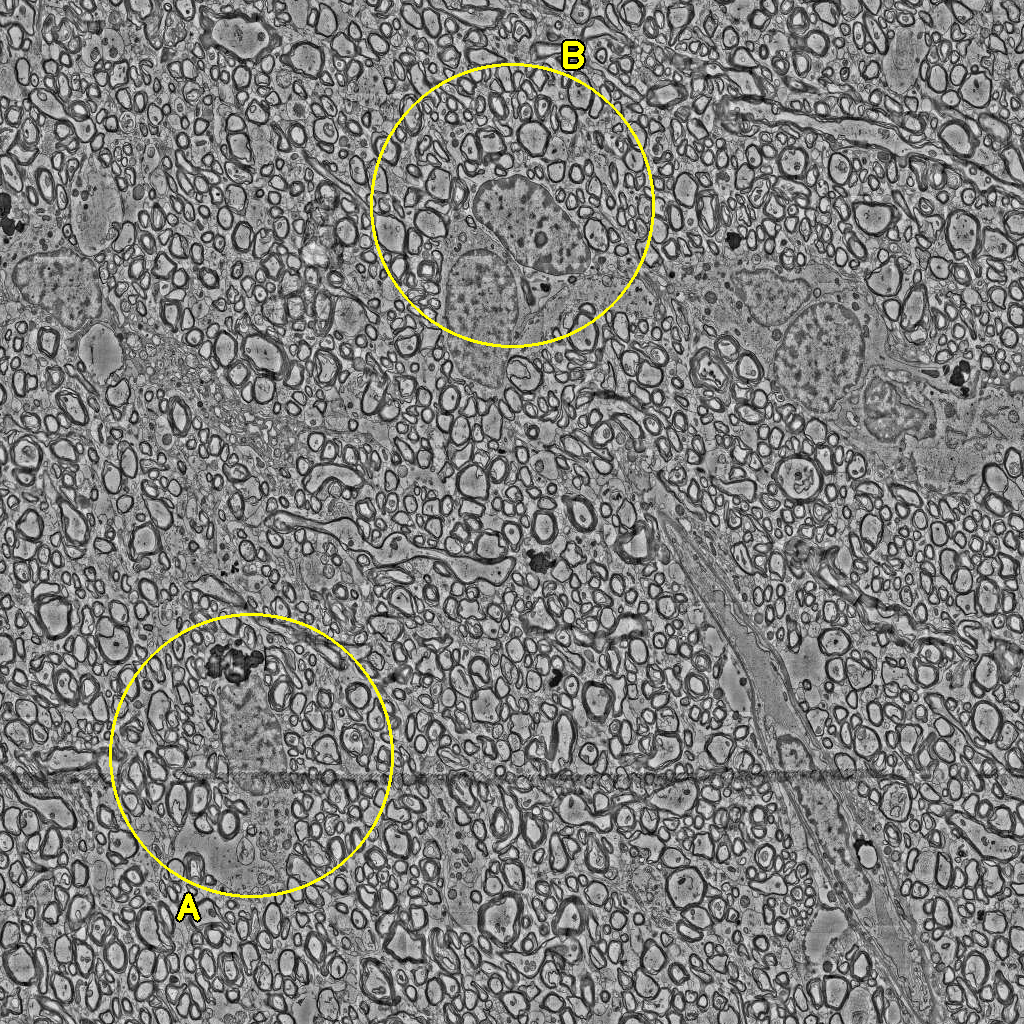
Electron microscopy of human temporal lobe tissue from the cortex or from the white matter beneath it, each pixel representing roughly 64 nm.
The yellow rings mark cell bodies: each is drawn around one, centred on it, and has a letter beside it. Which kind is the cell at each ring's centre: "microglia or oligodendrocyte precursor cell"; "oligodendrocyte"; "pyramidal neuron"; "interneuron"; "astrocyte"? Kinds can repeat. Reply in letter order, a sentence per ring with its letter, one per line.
At the centre of ring A lies an oligodendrocyte.
At the centre of ring B lies a microglial cell or oligodendrocyte precursor cell.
